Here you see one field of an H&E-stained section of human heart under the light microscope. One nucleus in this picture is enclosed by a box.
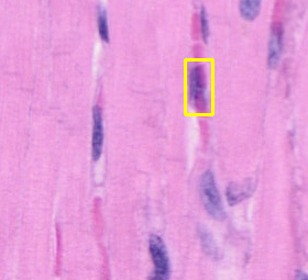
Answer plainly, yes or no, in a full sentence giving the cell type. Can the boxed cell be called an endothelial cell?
Yes, the boxed cell has been classified as an endothelial cell.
